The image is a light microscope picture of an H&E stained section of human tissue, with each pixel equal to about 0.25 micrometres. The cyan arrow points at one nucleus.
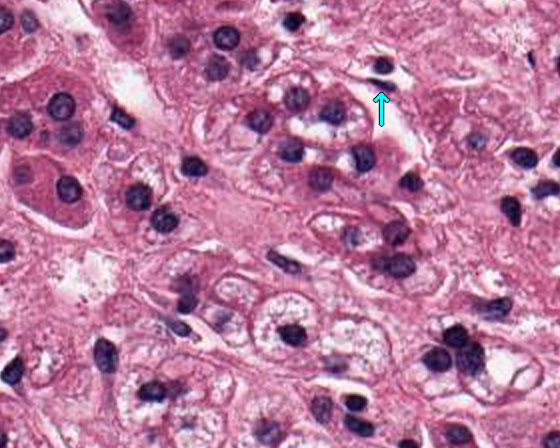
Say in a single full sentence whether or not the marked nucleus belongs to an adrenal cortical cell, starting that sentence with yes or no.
No, as for the marked nucleus, it belongs to a supporting cell and not to an adrenal cortical cell.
